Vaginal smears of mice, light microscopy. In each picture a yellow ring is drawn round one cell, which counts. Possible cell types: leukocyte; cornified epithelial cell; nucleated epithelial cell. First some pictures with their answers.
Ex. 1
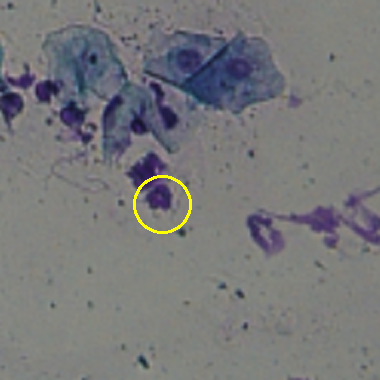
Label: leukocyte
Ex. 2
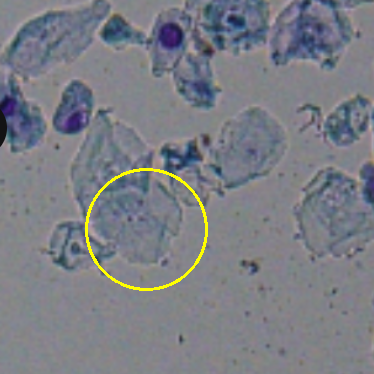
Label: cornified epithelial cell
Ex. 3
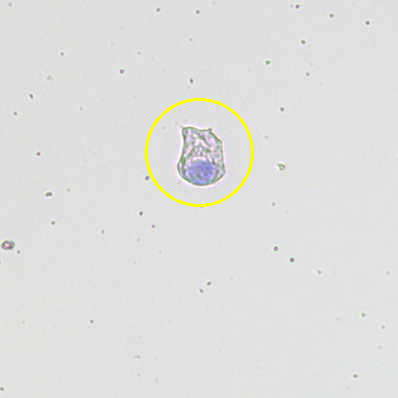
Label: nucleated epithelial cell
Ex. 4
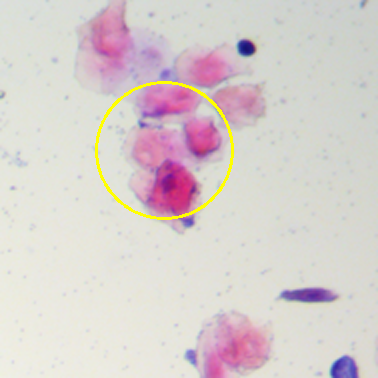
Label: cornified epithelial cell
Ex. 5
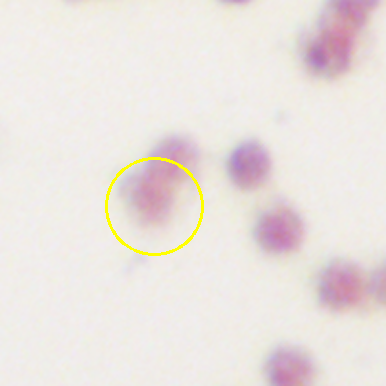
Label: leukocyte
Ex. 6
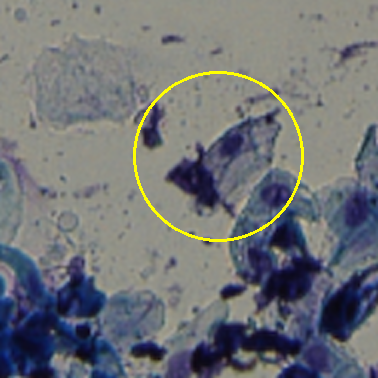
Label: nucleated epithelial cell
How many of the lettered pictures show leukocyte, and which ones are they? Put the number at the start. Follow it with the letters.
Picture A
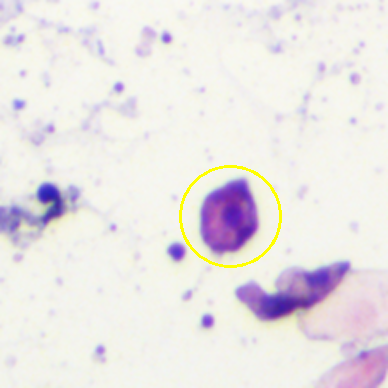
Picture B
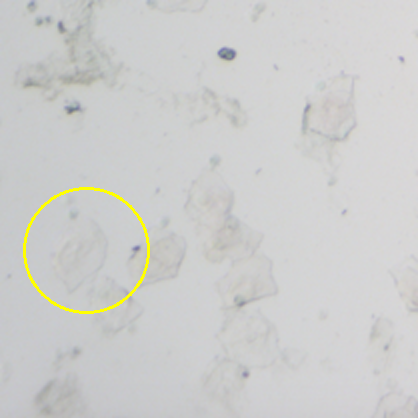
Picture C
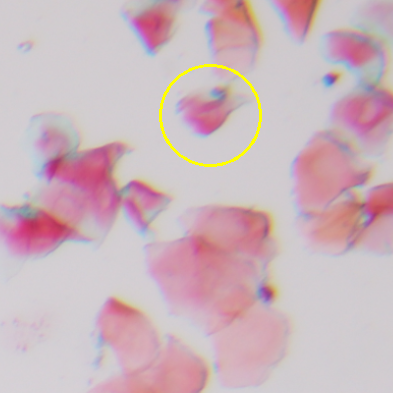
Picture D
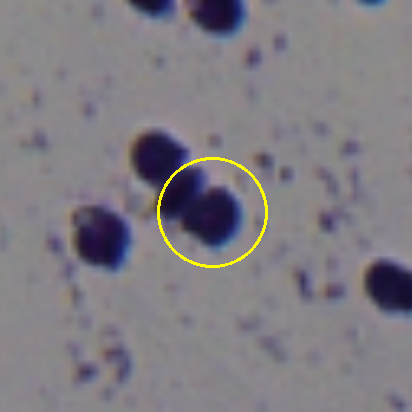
1, namely D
